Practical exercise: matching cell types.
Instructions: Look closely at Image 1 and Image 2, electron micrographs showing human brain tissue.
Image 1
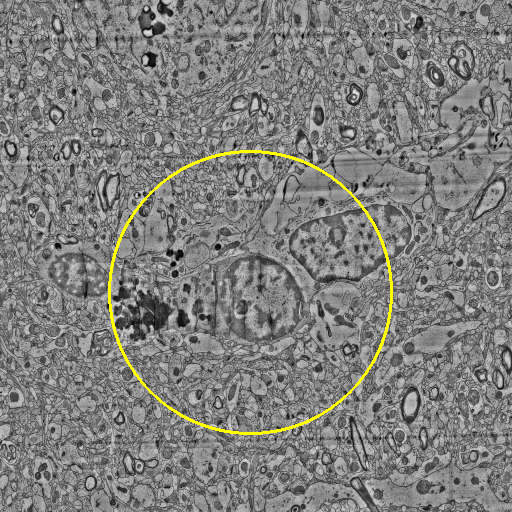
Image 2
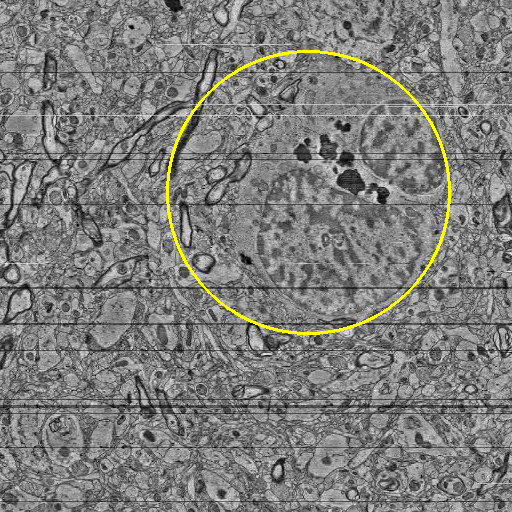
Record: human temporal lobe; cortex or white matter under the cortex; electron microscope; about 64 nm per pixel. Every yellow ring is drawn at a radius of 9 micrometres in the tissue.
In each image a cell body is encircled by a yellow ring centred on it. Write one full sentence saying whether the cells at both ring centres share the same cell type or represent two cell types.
Across Image 1 and Image 2, the cells at the ring centres share the same cell type.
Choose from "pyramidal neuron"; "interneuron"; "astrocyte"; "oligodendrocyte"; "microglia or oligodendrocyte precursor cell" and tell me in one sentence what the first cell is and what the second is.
In each picture the ringed cell is an oligodendrocyte.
